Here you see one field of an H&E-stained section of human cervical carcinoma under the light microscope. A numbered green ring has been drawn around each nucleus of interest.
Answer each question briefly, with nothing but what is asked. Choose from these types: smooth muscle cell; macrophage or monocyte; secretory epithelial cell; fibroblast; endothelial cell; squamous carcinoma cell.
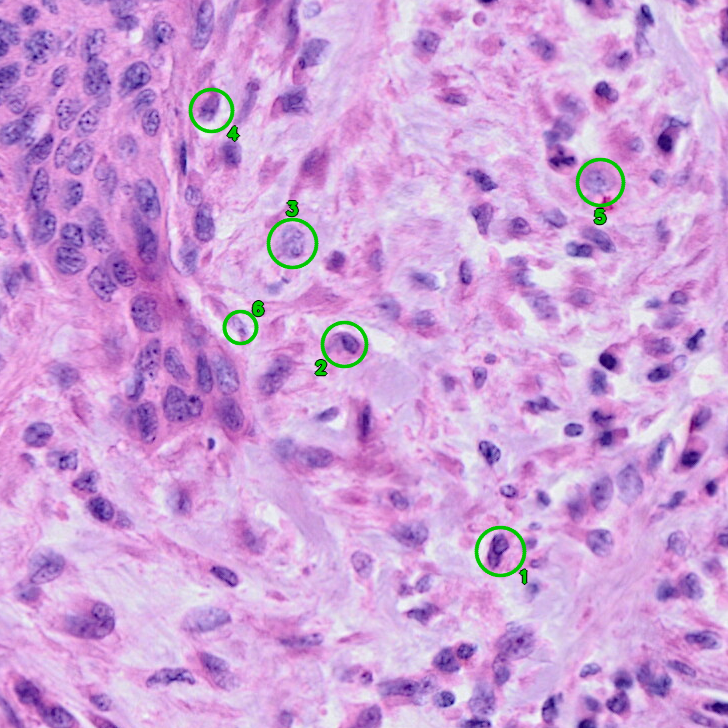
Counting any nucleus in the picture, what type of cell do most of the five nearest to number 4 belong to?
fibroblast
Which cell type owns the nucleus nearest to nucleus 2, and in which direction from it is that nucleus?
a fibroblast, above and to the right of nucleus 2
